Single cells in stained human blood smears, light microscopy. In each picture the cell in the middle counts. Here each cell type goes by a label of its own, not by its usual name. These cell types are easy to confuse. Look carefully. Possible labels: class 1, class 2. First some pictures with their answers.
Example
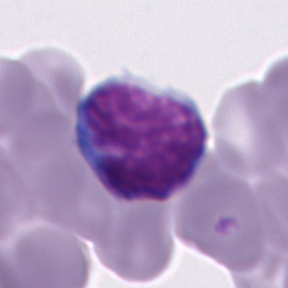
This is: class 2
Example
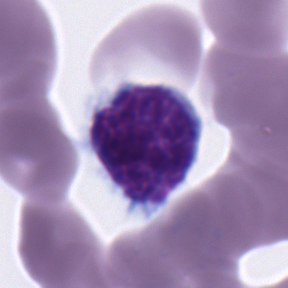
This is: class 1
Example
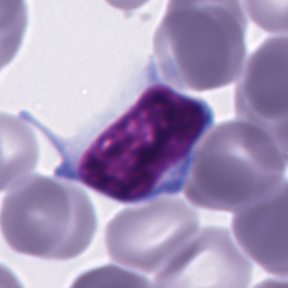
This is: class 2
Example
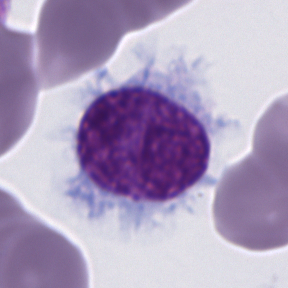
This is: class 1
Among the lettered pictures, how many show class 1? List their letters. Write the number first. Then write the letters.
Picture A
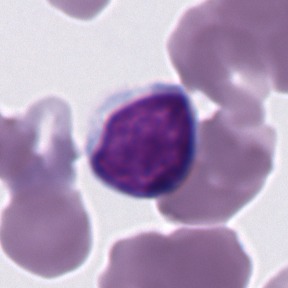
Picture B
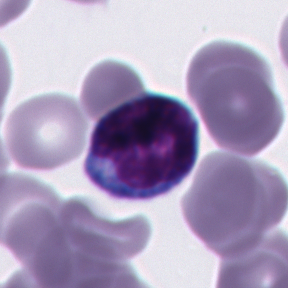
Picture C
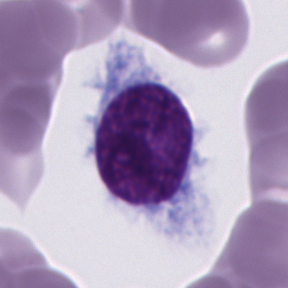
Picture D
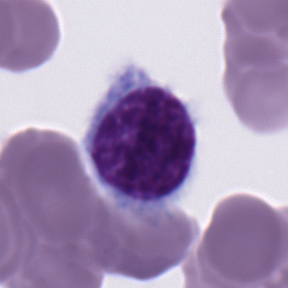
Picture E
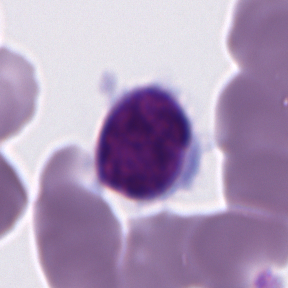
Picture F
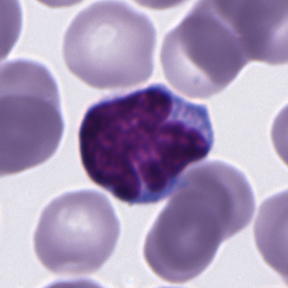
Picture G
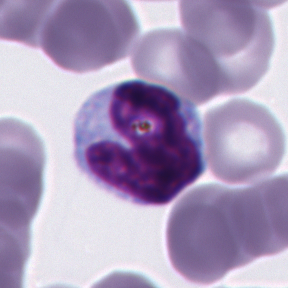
Count: 3 (C, D, E)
